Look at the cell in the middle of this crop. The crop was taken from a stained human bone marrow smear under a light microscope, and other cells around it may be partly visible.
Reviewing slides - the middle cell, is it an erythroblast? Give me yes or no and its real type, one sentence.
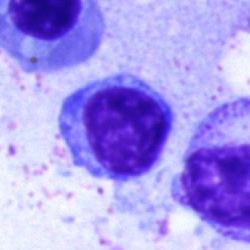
No, rather than being an erythroblast, the central cell is a lymphocyte.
